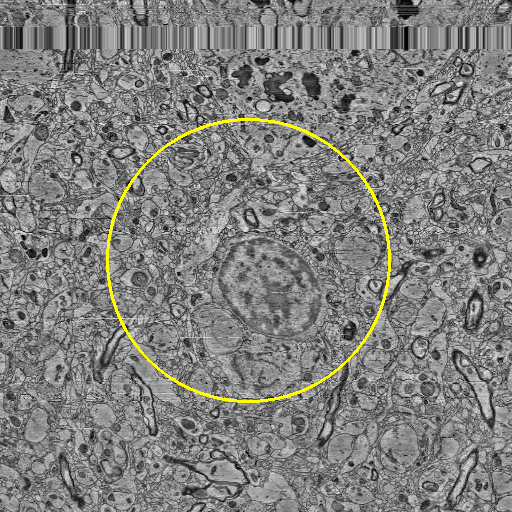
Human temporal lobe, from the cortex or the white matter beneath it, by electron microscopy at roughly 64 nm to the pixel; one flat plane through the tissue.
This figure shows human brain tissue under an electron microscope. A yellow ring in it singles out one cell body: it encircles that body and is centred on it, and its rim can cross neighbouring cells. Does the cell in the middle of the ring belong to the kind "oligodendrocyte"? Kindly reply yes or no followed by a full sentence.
Yes, the kind asked about is right for the cell centred in the figure's ring.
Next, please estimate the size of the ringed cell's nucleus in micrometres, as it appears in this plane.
In this plane the nucleus is about 8 micrometres by 6.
